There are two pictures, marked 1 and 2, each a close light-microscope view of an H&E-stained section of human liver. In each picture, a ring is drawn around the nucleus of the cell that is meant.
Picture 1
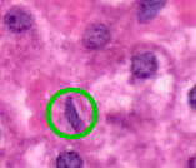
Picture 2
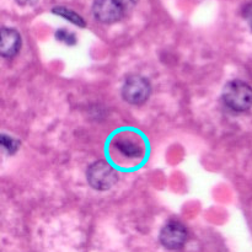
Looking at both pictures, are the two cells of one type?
yes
